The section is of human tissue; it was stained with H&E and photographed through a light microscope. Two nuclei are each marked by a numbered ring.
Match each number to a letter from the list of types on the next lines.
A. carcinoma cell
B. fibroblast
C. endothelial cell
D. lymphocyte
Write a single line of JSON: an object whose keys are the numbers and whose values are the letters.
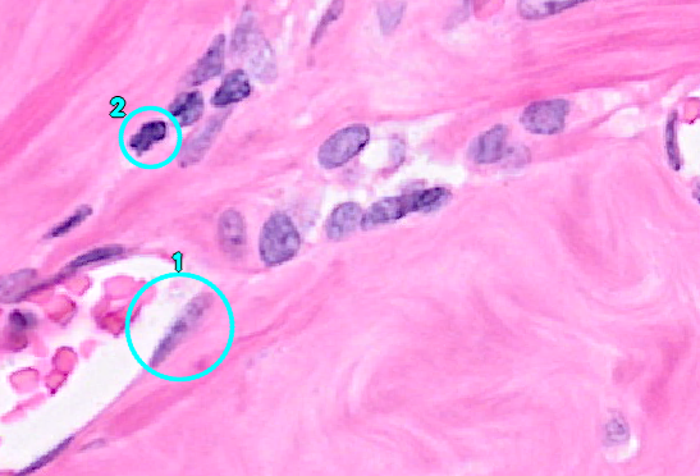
{"1": "C", "2": "D"}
